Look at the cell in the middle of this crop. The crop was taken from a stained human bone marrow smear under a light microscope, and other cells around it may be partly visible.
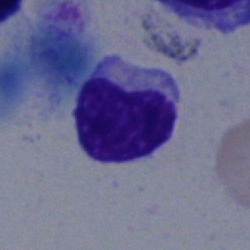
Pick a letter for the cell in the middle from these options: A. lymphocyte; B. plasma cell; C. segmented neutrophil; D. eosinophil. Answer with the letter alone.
A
